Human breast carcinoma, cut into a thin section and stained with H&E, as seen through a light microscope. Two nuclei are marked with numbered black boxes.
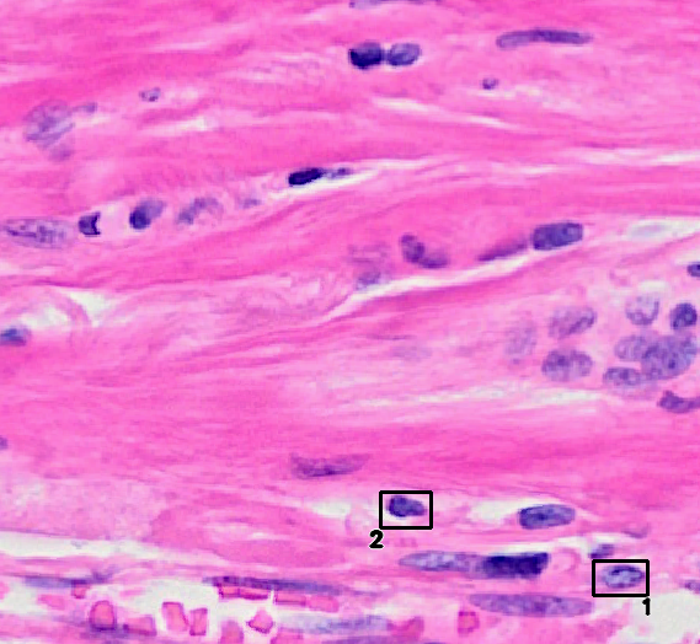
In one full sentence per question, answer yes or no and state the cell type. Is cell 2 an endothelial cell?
No, the cell numbered 2 is a lymphocyte rather than an endothelial cell.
